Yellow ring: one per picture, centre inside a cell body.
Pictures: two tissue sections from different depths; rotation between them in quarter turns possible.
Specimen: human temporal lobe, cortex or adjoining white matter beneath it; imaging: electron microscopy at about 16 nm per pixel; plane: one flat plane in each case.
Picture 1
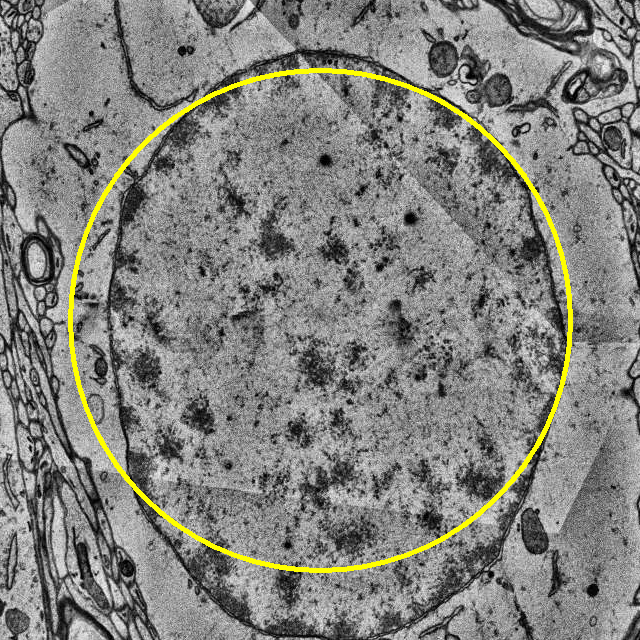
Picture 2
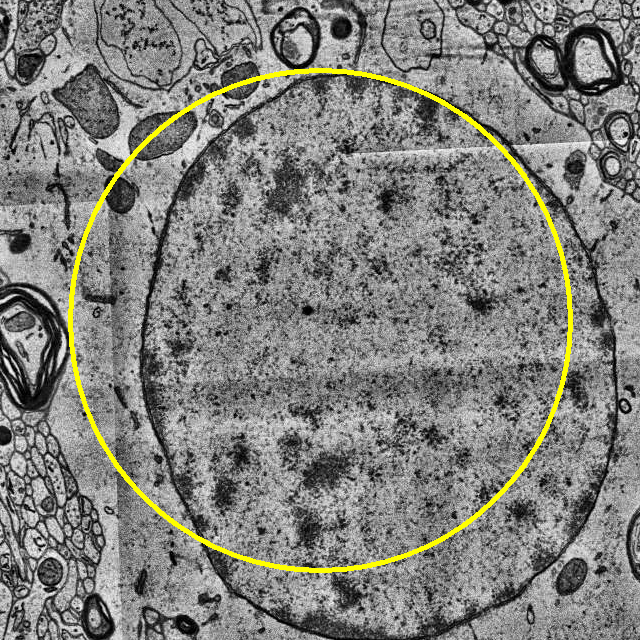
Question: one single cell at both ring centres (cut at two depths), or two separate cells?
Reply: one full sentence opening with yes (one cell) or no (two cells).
No, two different cells are marked by the two rings.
